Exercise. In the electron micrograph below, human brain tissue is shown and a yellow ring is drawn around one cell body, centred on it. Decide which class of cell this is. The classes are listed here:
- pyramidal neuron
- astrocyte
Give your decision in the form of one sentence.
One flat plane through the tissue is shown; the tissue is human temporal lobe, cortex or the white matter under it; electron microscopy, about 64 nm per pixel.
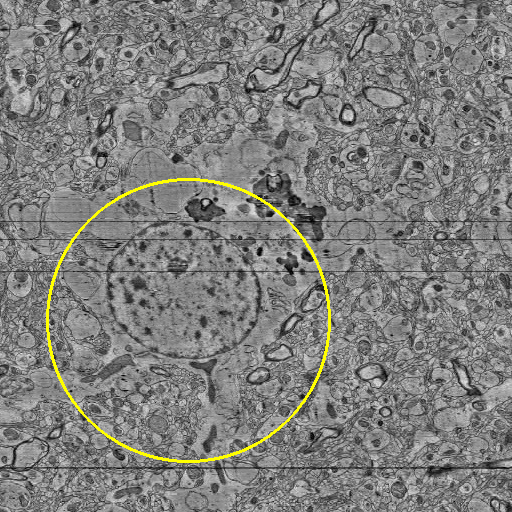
The cell body marked by the ring belongs to an astrocyte.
